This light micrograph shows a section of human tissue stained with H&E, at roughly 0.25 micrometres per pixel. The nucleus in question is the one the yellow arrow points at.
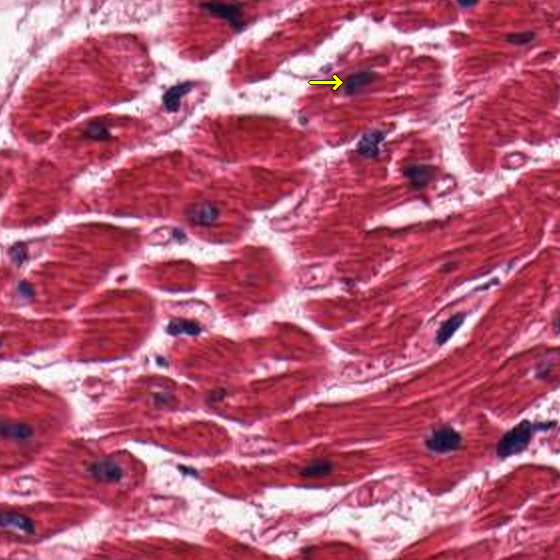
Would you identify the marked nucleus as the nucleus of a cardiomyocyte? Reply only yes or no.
yes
